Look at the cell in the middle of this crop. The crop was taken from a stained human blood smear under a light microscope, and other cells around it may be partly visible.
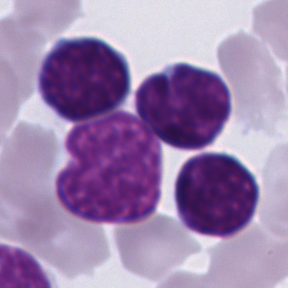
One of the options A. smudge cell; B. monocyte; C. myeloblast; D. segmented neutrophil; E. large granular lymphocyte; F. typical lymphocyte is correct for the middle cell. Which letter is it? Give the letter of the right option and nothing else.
C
